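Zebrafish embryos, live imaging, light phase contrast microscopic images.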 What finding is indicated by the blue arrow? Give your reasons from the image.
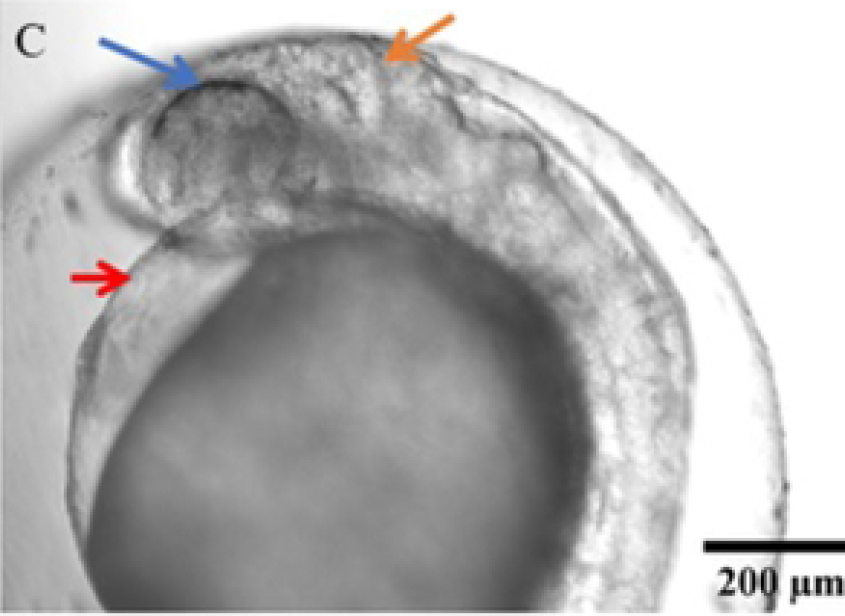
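The eye at the blue arrow is pale grey rather than dark. Few or no dark pigment spots are visible along the body. That points to this answer: limited or lacking pigmentation.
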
